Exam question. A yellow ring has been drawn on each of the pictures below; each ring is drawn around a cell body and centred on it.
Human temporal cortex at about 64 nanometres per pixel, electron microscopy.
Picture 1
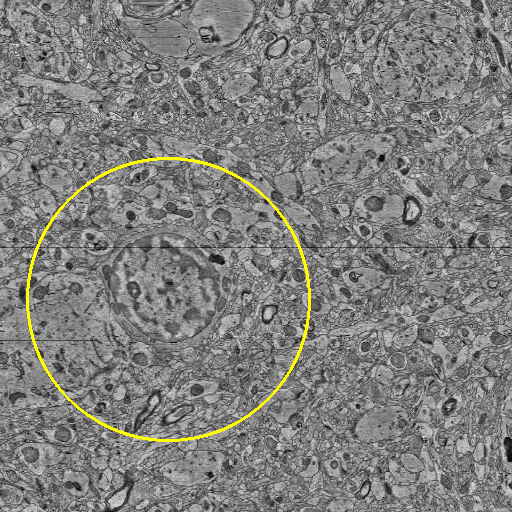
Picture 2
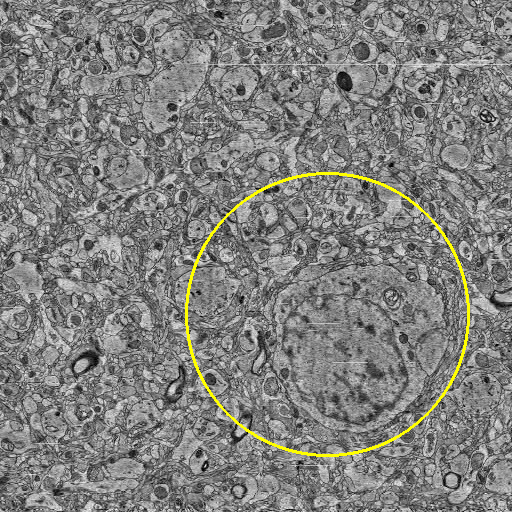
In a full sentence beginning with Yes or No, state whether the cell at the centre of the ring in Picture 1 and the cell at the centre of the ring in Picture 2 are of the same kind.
No, the cells are of two kinds.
